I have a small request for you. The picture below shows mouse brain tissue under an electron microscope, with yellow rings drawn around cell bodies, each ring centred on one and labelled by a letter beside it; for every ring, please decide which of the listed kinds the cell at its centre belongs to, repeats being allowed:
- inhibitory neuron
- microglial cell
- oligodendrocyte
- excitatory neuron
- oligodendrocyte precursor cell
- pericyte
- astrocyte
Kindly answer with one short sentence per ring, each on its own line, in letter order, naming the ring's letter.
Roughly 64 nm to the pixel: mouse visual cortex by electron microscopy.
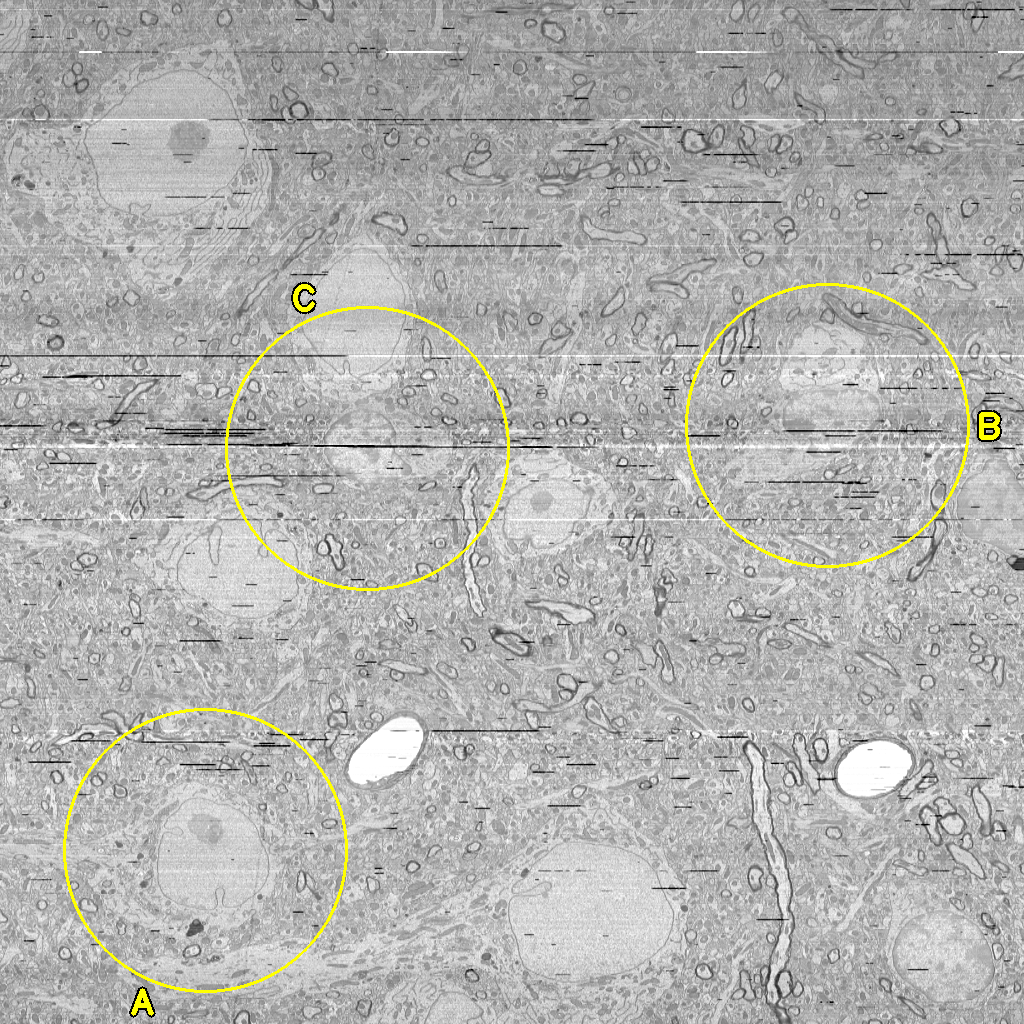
Ring A shows an excitatory neuron at its centre.
Ring B shows an oligodendrocyte at its centre.
Ring C shows an oligodendrocyte at its centre.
